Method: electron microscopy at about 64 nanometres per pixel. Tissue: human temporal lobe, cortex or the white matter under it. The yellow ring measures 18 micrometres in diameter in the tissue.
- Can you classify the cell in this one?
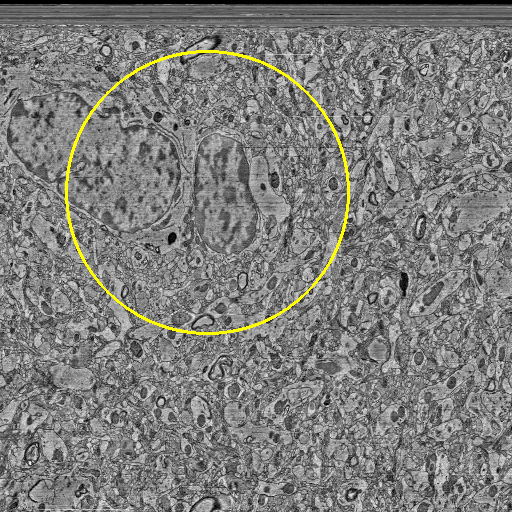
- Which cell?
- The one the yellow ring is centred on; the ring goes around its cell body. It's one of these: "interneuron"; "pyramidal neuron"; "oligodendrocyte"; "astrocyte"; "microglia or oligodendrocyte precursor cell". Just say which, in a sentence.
The cell body in the ring belongs to a microglial cell or oligodendrocyte precursor cell.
